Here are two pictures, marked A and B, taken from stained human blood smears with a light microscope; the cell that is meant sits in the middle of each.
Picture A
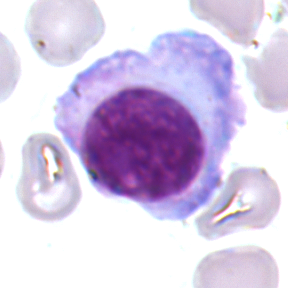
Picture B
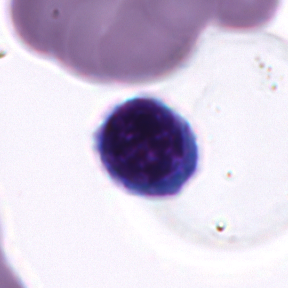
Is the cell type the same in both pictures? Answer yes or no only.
yes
